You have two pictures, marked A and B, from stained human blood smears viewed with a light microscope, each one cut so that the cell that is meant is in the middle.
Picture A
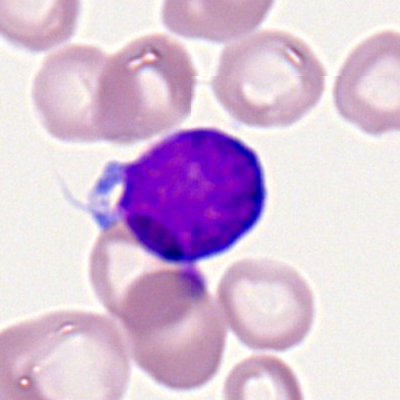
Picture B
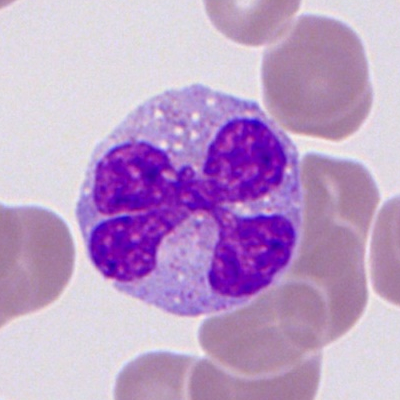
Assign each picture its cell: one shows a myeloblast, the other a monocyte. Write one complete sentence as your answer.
It is picture A that shows a myeloblast, and picture B that shows a monocyte.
